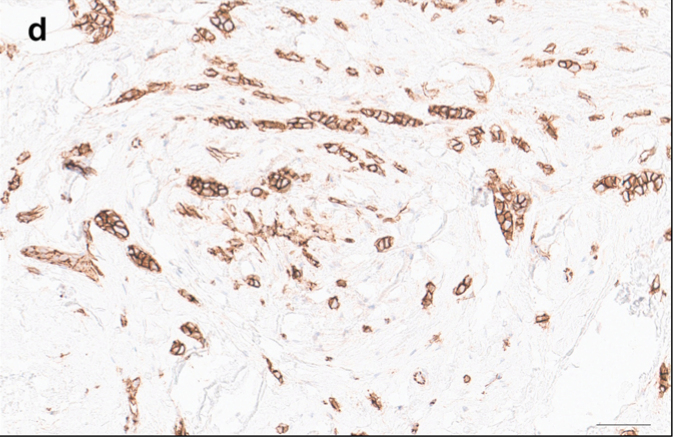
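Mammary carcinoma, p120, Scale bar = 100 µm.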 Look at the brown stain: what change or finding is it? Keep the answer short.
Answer: Circumferential membranous staining.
